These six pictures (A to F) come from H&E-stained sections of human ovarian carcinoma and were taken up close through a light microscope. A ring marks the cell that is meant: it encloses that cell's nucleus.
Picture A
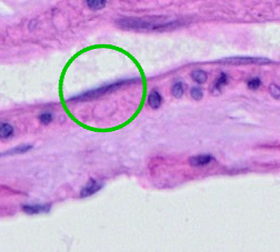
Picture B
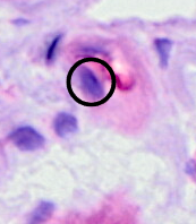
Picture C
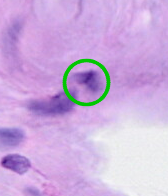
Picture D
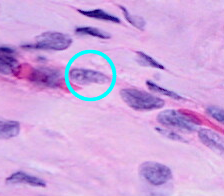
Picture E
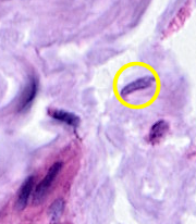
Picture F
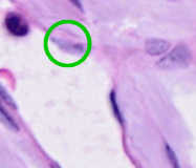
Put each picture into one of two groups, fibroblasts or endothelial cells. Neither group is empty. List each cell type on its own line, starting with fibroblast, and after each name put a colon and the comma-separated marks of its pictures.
fibroblast: C, E
endothelial cell: A, B, D, F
